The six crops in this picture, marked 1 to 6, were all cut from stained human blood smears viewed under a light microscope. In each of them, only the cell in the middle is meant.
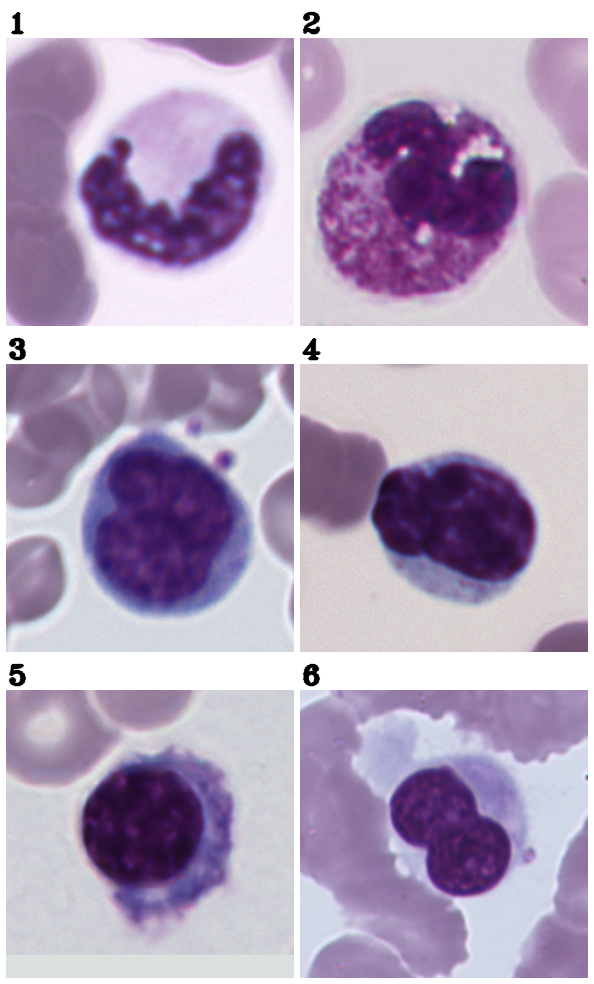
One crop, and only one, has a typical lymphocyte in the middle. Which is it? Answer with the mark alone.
4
